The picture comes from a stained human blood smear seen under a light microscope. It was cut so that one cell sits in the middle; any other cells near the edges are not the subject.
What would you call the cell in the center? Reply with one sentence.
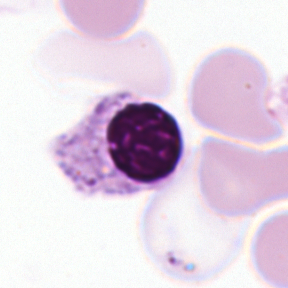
The cell shown in the center of this light-microscope crop is a normoblast.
